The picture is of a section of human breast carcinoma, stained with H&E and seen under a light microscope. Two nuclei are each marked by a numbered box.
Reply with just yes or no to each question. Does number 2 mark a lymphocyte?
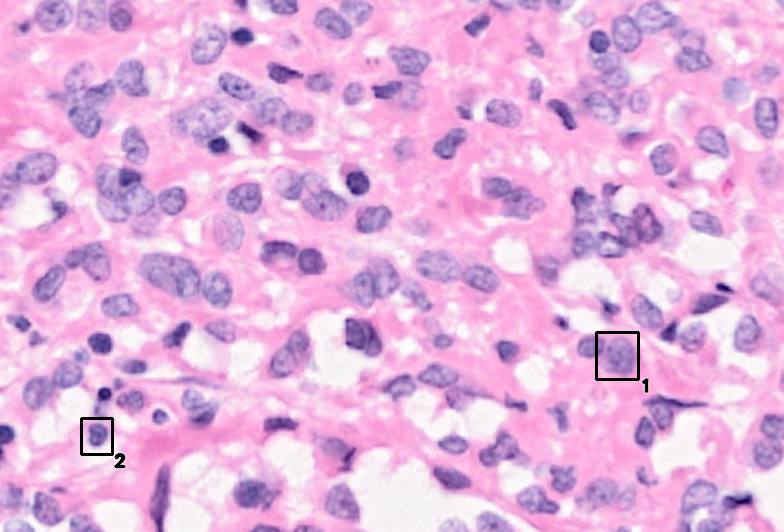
yes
